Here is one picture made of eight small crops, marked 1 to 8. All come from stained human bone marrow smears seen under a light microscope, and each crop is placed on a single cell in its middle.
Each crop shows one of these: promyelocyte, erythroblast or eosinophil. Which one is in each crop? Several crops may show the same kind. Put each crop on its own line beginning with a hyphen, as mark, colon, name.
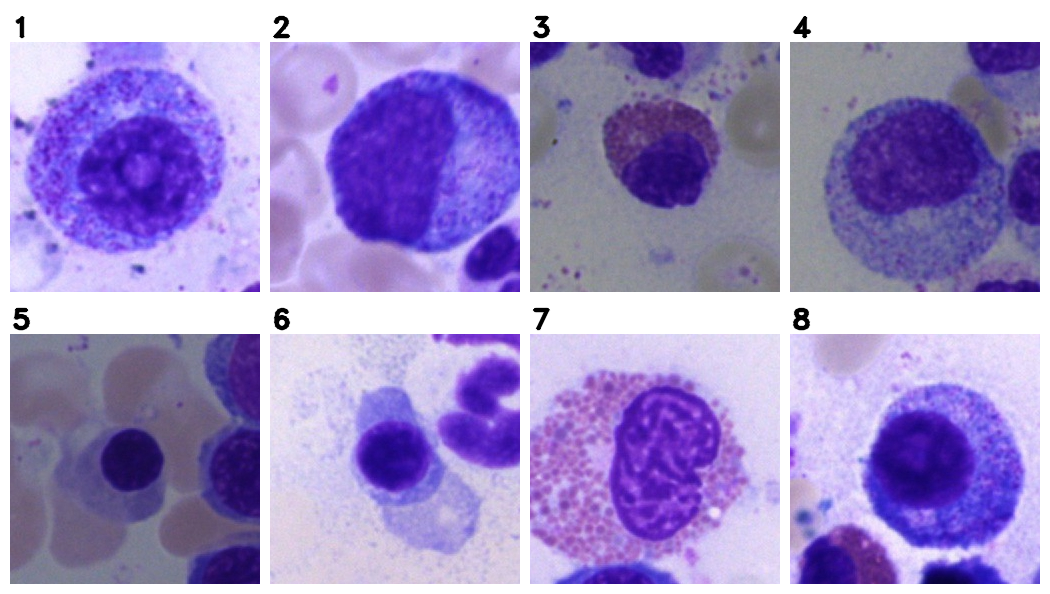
- 1: promyelocyte
- 2: promyelocyte
- 3: eosinophil
- 4: promyelocyte
- 5: erythroblast
- 6: erythroblast
- 7: eosinophil
- 8: promyelocyte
